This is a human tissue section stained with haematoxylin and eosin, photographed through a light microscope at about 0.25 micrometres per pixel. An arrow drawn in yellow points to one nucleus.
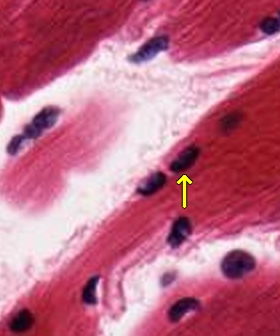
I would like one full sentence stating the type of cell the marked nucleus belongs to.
The nucleus marked in the section is that of a skeletal muscle fibre.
